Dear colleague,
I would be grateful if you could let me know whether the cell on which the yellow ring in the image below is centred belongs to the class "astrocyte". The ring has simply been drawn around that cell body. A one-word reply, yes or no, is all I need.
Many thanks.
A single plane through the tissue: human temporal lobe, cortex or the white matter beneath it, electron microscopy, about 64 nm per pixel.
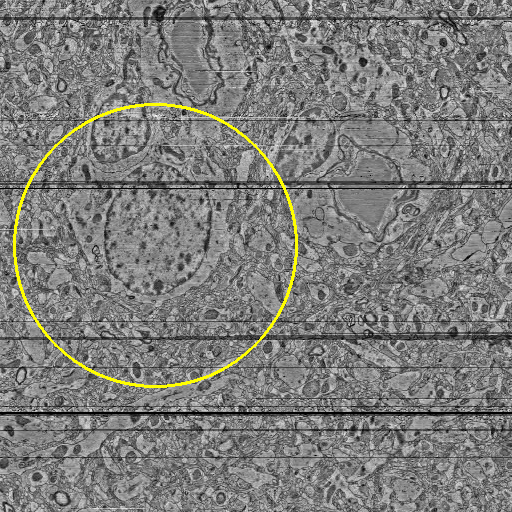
yes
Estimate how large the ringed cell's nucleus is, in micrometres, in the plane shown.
Roughly 9 by 7 micrometres is the size of the nucleus in this plane.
